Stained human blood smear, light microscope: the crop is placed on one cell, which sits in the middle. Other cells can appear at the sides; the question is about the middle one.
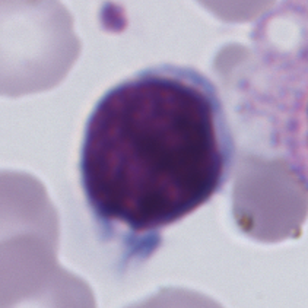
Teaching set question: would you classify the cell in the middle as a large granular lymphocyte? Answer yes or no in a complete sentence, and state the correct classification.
No, the one in the center is not a large granular lymphocyte; it is a typical lymphocyte.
